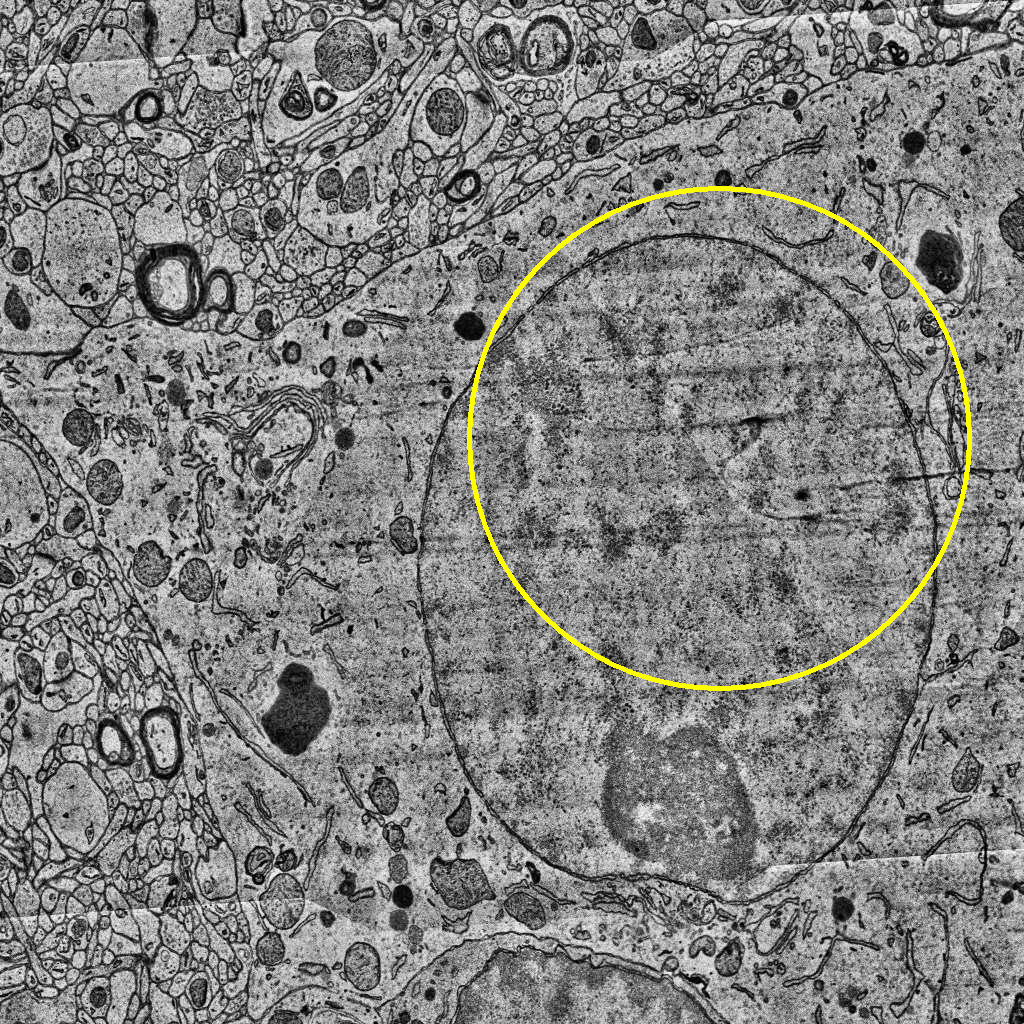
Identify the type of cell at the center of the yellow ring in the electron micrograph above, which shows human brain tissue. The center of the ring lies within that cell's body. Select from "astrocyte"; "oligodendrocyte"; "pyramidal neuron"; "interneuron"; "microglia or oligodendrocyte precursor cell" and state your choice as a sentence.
The center of the yellow ring lies in the body of a pyramidal neuron.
